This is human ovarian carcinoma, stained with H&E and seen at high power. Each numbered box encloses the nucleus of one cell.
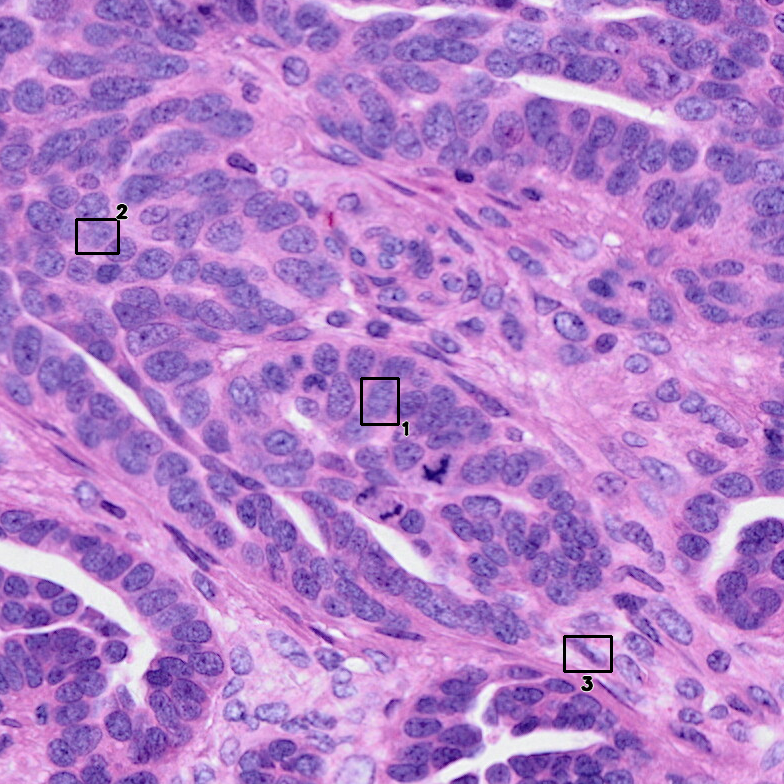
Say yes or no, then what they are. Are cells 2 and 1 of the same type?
Yes, both are carcinoma cells.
